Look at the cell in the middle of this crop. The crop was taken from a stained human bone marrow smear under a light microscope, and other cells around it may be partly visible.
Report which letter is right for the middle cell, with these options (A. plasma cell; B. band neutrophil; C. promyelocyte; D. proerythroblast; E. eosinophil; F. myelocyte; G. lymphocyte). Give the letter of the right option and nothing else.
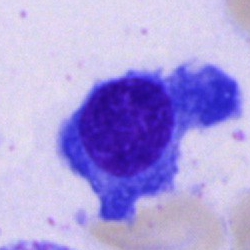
A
